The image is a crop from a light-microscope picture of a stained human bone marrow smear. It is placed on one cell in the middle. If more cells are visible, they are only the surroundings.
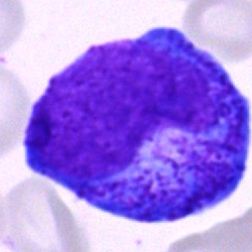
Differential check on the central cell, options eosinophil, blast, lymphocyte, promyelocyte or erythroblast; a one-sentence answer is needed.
The cell under consideration, at the middle of the crop, is a promyelocyte.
